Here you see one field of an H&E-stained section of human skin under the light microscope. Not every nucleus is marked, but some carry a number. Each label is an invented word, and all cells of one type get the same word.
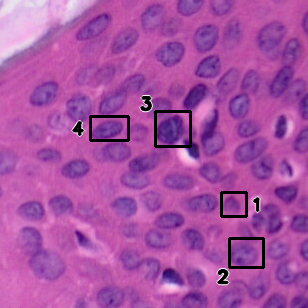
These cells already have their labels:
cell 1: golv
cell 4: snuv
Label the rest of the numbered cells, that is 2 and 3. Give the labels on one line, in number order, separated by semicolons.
snuv; golv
